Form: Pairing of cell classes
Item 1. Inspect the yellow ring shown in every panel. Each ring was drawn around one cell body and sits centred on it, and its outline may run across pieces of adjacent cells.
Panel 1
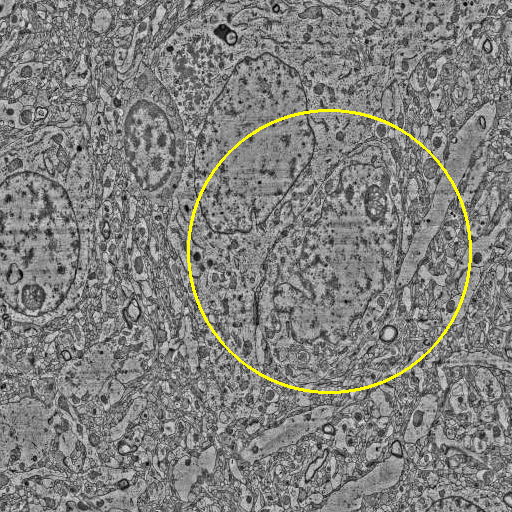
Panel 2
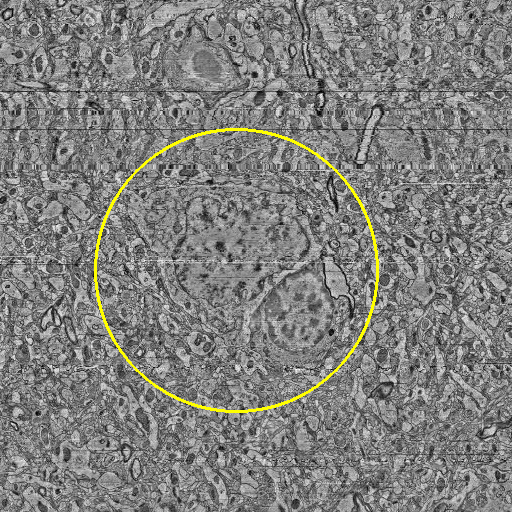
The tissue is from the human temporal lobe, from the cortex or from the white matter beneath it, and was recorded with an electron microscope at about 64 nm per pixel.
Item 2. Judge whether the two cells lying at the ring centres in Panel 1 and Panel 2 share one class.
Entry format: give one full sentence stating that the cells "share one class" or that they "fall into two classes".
The cells at the ring centres in Panel 1 and Panel 2 share one class.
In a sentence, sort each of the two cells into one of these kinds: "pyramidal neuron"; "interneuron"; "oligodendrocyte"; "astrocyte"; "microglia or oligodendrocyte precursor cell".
The ring centre holds an interneuron in each of the two pictures.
